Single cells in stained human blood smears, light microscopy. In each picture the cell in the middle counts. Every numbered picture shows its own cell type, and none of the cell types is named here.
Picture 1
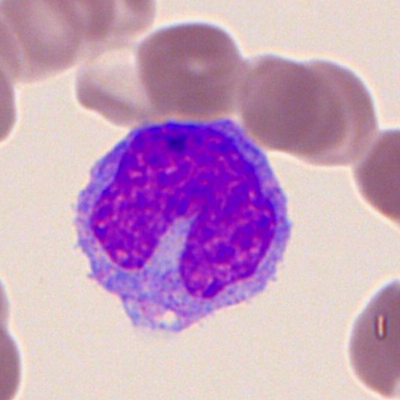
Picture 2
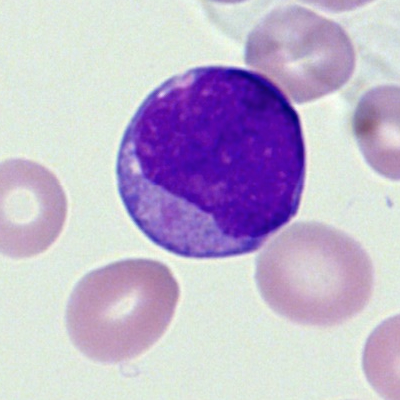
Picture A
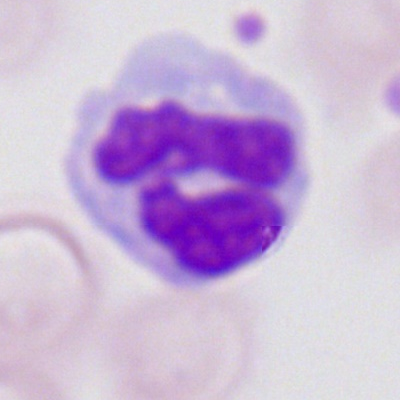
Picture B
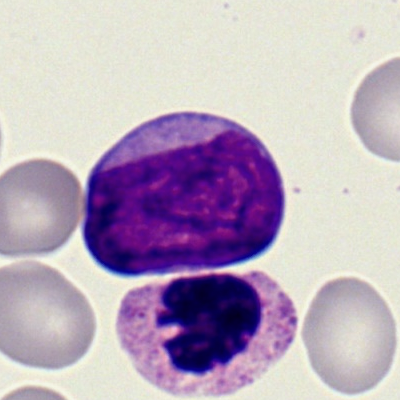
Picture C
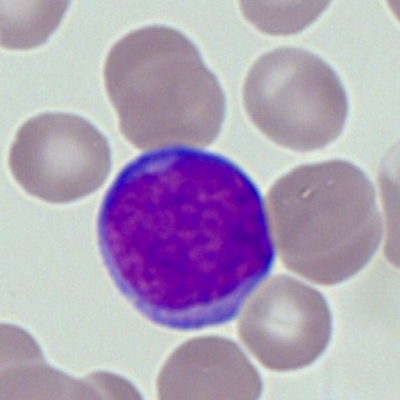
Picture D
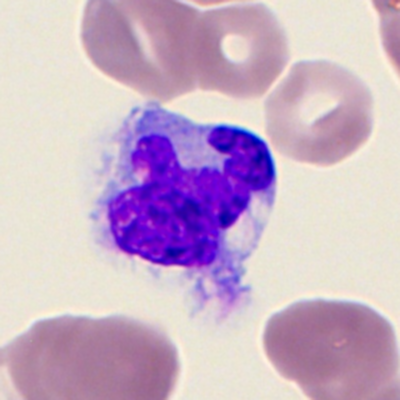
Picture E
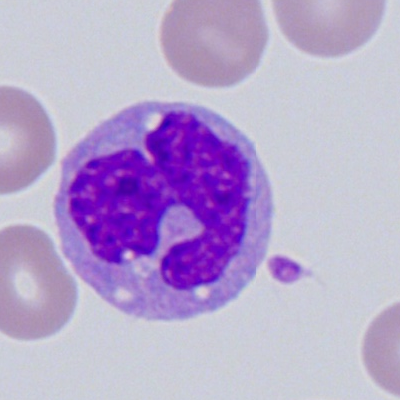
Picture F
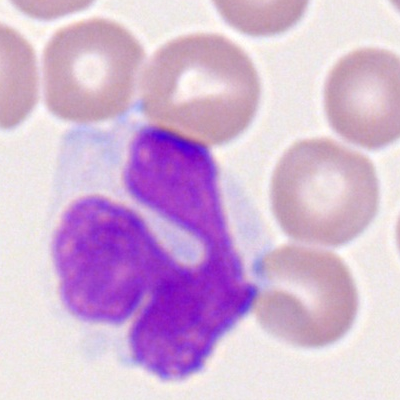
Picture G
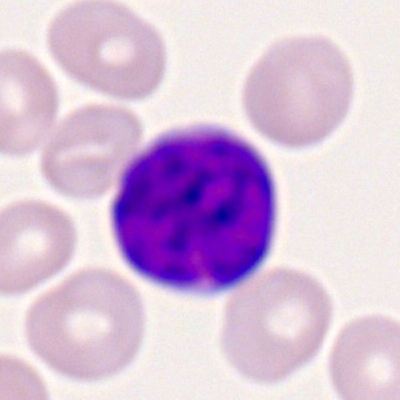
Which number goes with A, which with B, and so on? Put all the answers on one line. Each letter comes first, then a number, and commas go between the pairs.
A 1, B 2, C 2, D 1, E 1, F 1, G 2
